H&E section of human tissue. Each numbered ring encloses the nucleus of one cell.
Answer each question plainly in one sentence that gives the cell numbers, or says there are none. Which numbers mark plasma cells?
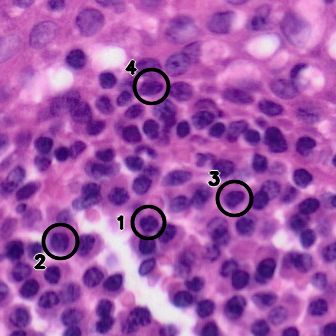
Within this tissue, the cells numbered 1, 2 and 3 are plasma cells.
